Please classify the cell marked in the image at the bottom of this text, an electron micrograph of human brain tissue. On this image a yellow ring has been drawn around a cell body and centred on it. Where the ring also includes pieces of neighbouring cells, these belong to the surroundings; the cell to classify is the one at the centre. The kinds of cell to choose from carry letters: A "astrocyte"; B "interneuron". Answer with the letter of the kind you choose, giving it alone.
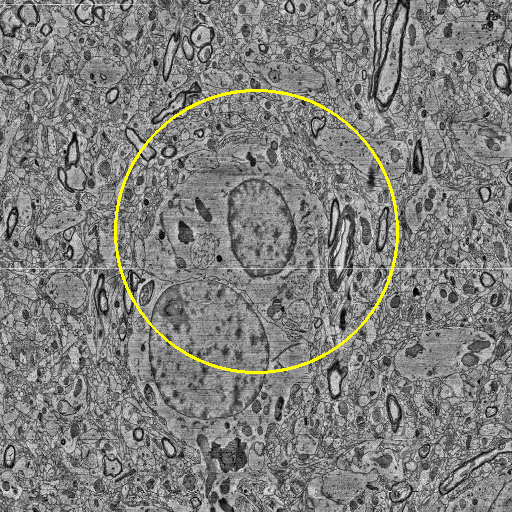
A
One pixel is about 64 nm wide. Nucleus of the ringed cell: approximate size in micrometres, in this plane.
The nucleus is about 6 micrometres in length and 4 in width, clearly longer than it is wide in this plane.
